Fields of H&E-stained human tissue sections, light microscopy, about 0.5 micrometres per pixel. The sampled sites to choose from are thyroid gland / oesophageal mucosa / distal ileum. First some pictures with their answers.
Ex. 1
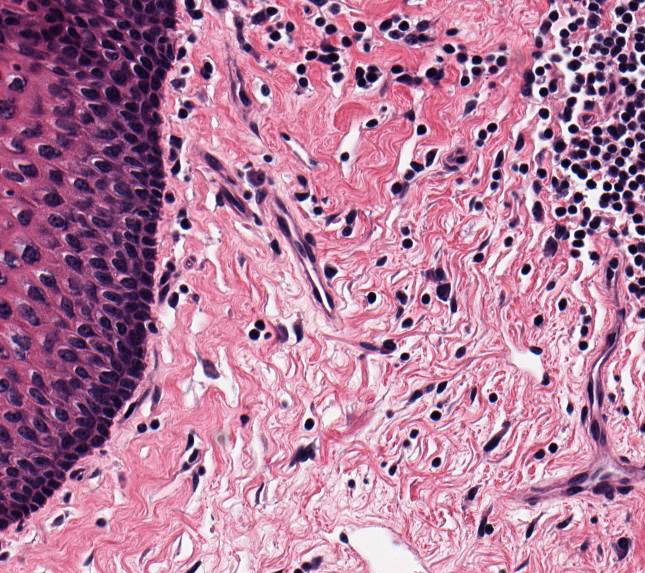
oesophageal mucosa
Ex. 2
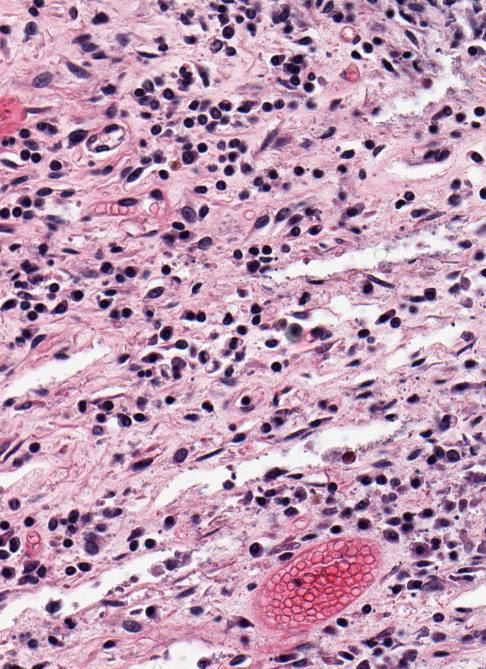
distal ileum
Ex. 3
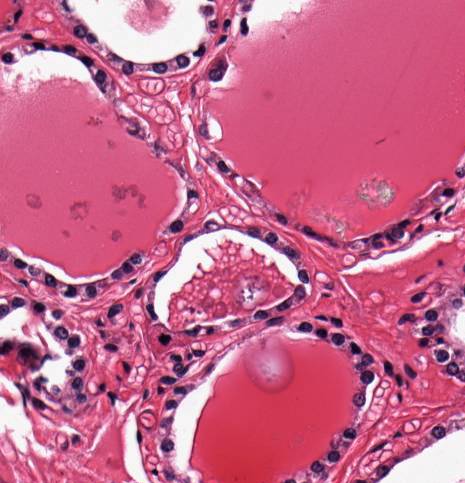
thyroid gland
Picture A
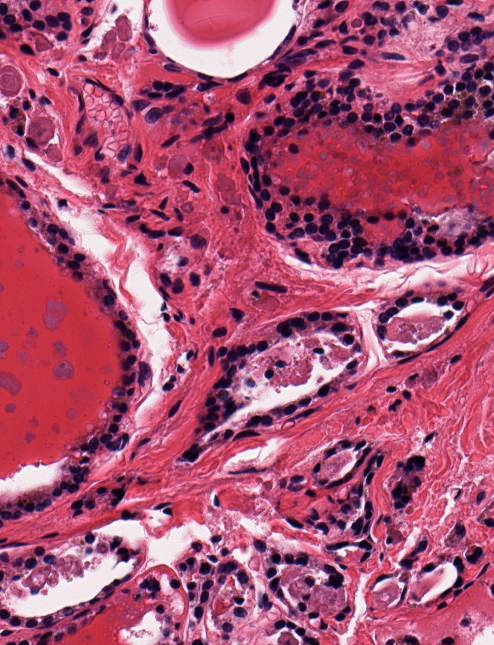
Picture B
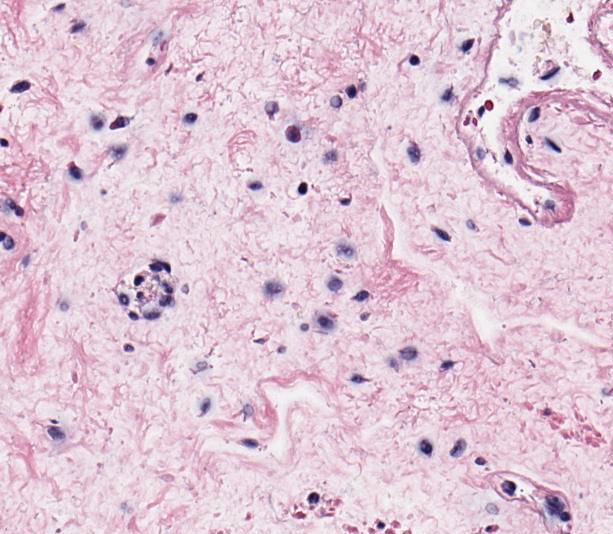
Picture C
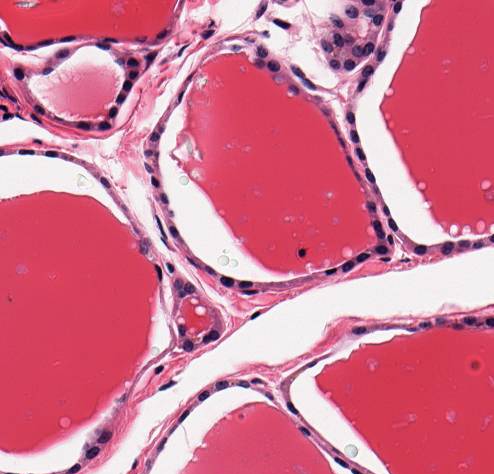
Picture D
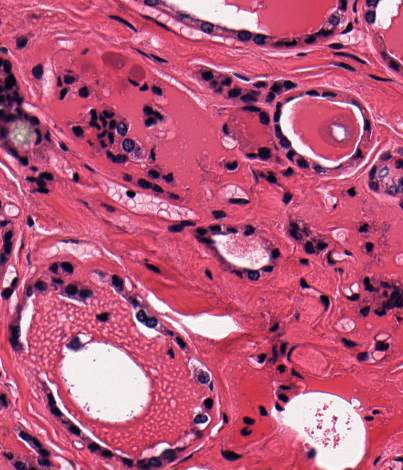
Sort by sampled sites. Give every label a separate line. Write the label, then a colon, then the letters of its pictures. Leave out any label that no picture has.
thyroid gland: A, C, D
oesophageal mucosa: B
